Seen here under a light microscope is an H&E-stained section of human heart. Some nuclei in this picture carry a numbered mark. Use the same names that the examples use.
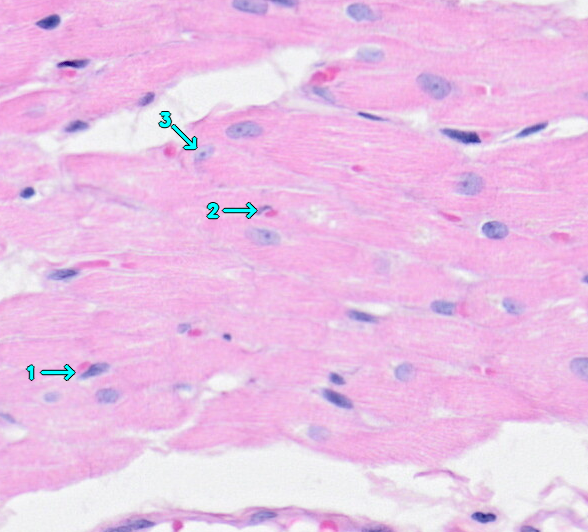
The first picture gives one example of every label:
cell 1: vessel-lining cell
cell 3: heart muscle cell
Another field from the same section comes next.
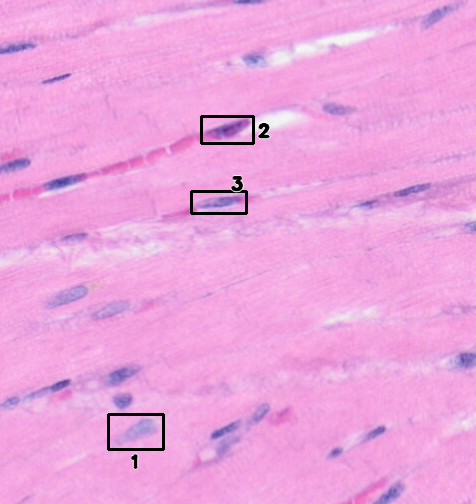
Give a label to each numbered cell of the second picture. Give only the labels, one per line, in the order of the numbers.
heart muscle cell
vessel-lining cell
vessel-lining cell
